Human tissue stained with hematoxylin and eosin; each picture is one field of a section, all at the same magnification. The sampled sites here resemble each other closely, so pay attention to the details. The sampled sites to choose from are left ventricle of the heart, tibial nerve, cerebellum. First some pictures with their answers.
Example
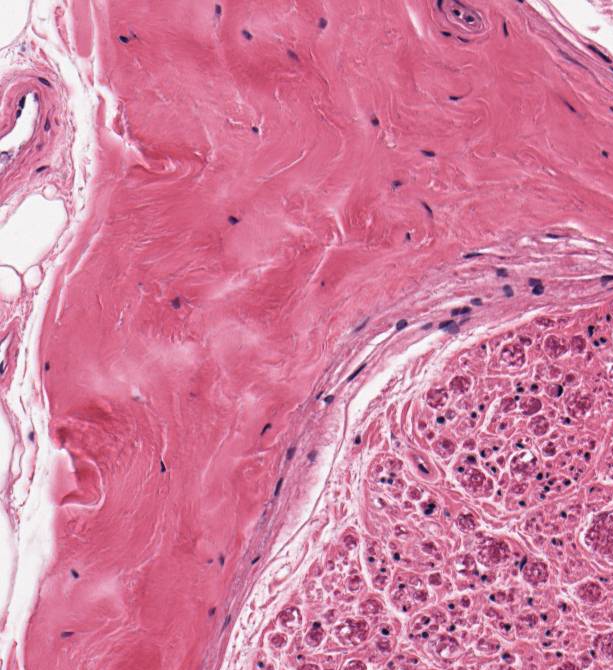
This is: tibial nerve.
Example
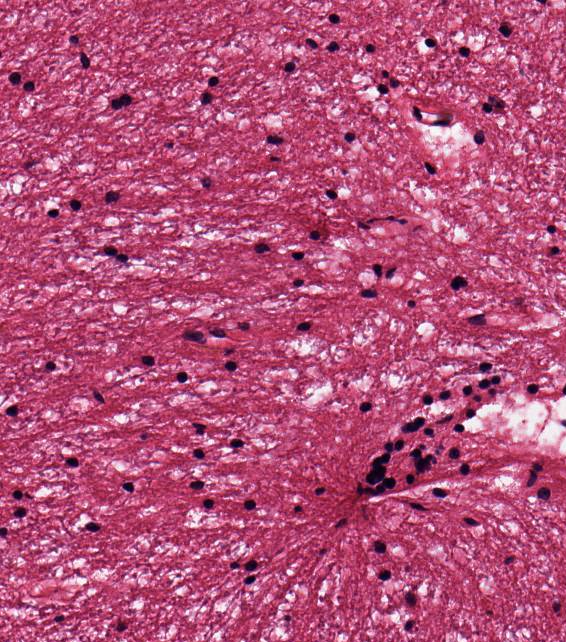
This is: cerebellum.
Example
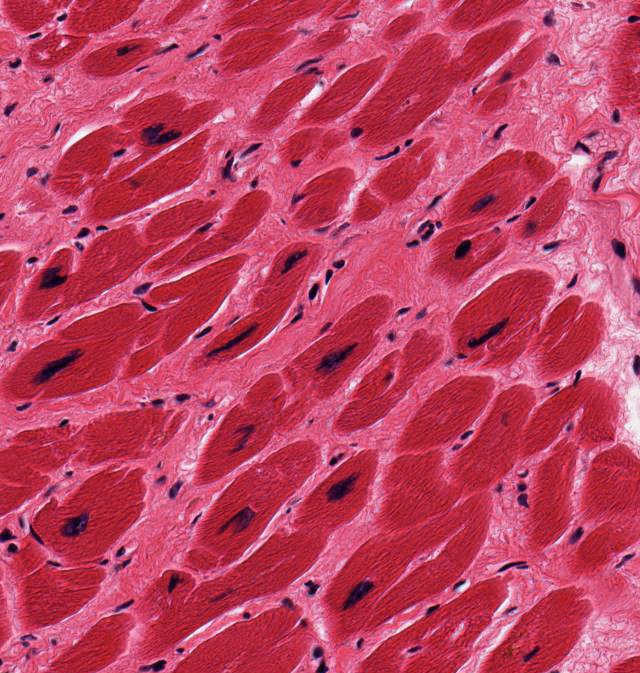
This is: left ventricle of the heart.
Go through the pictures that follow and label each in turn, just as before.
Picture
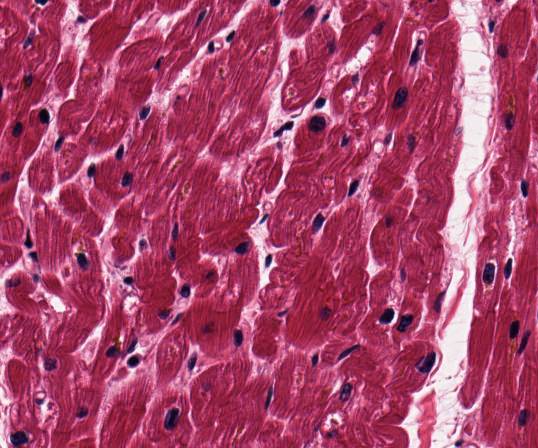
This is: left ventricle of the heart.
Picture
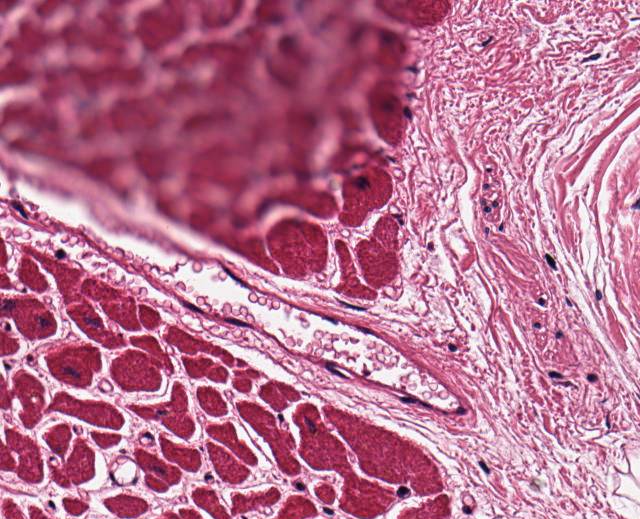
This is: left ventricle of the heart.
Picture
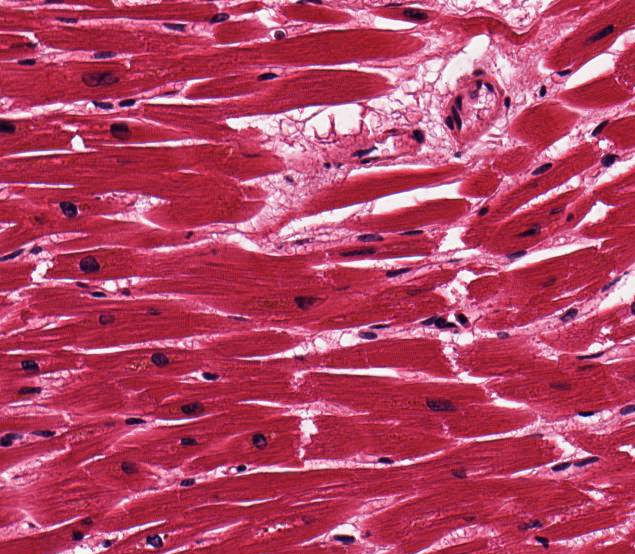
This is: left ventricle of the heart.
